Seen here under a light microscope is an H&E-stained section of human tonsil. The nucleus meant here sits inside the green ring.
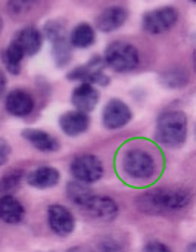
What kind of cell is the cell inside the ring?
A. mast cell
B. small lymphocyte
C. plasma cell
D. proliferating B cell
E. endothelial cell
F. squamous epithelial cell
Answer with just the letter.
C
